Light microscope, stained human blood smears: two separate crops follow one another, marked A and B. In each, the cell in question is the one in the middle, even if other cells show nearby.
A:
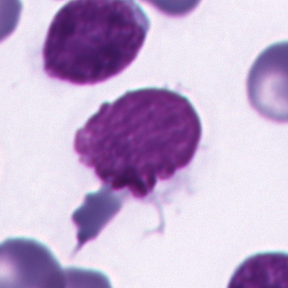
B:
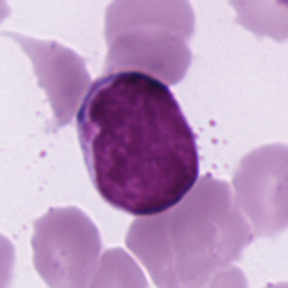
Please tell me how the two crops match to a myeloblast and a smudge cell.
A: smudge cell
B: myeloblast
